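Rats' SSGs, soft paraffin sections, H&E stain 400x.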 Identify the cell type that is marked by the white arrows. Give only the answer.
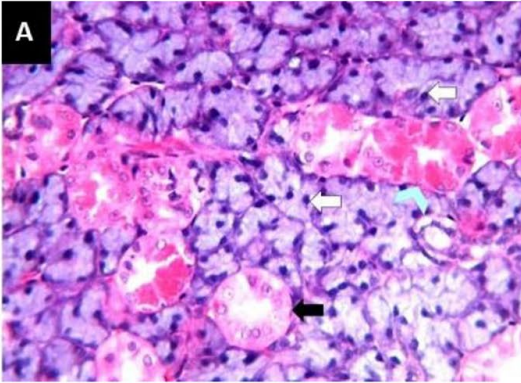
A: Acinar cells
